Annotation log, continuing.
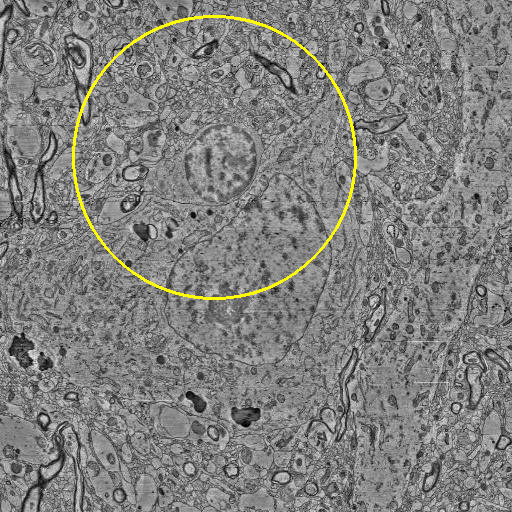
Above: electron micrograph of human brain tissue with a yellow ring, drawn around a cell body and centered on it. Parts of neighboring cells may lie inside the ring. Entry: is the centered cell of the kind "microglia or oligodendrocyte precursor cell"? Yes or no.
No, the centered cell is of another kind.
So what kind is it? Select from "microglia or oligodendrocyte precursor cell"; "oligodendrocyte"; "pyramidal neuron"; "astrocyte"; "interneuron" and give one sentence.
Here, the ring is centred on an oligodendrocyte instead.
